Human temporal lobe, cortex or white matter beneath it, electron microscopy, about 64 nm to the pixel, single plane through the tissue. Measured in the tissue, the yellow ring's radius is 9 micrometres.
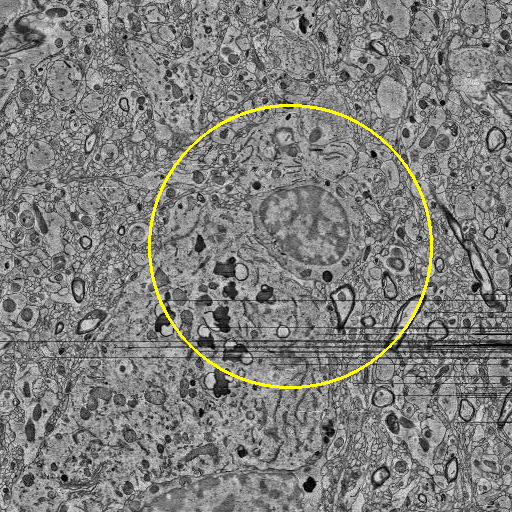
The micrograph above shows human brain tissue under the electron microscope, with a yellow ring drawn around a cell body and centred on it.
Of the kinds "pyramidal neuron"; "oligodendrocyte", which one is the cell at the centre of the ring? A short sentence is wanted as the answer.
The one at the centre of the ring is an oligodendrocyte.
